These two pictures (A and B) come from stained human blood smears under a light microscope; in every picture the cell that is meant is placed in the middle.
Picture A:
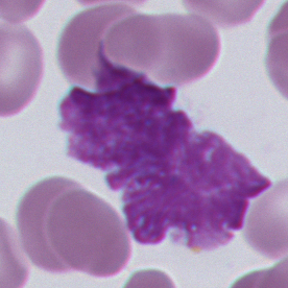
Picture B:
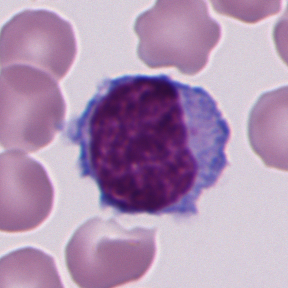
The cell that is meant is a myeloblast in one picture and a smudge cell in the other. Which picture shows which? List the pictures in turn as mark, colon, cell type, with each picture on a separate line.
A: smudge cell
B: myeloblast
